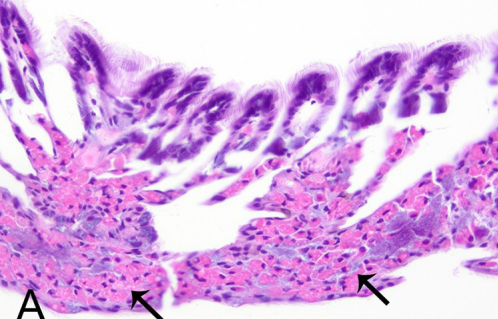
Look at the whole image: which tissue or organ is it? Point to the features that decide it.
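Regularly spaced slender lamellae project from a connective tissue base. The lamellae are covered by a columnar epithelium with a fringe of cilia. The answer: gill.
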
